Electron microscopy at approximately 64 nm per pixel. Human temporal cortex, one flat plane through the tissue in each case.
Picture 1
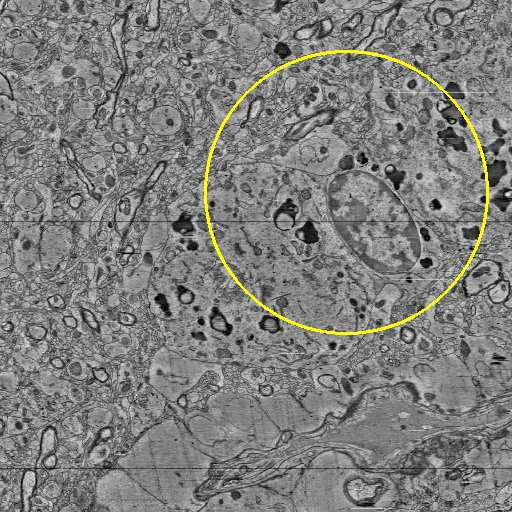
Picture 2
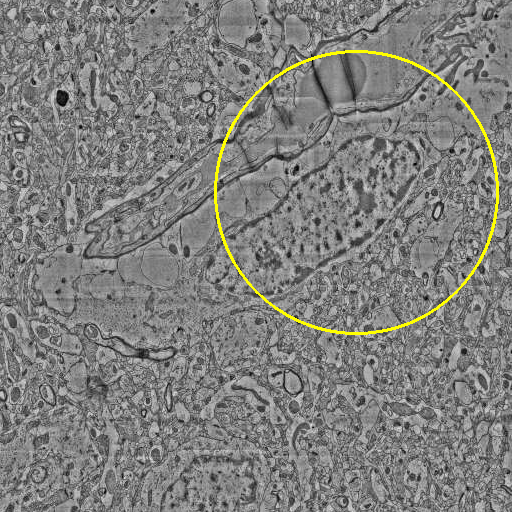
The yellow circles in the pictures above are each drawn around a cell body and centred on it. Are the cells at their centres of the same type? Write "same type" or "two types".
same type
